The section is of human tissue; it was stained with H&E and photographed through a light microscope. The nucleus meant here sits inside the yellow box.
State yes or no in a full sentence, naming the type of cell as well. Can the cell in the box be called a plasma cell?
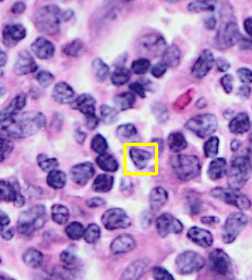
No; the cell in the box should be labelled a lymphocyte rather than a plasma cell.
